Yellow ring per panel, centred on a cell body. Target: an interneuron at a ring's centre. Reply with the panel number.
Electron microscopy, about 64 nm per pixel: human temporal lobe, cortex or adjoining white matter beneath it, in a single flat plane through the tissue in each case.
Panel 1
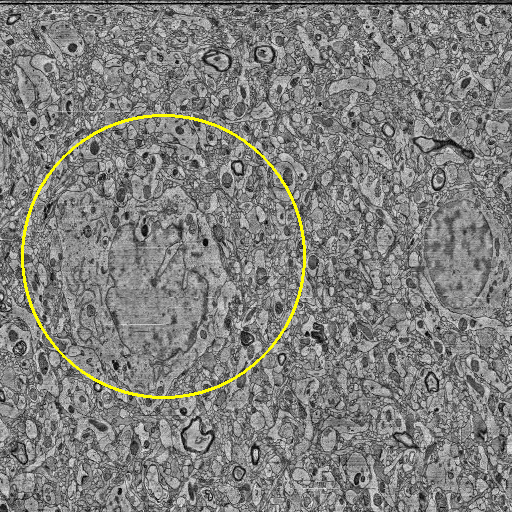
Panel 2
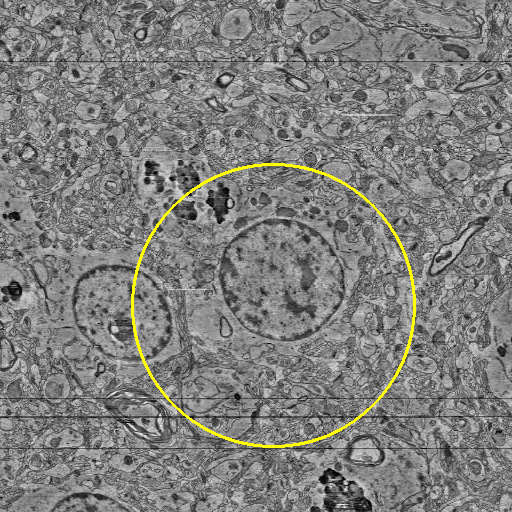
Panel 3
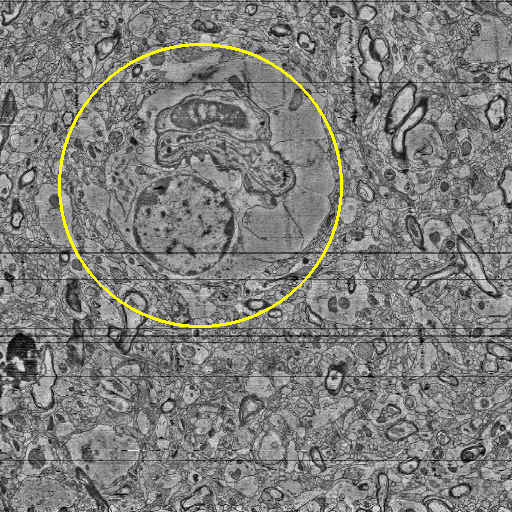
1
